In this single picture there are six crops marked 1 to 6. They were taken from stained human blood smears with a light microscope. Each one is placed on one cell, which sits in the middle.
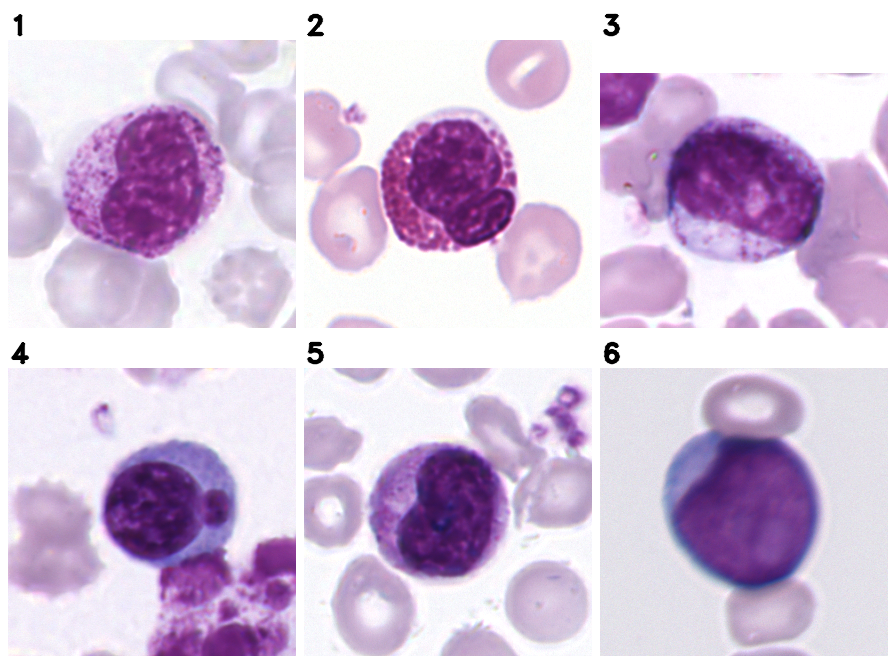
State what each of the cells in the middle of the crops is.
1: metamyelocyte
2: eosinophil
3: metamyelocyte
4: plasma cell
5: metamyelocyte
6: blast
